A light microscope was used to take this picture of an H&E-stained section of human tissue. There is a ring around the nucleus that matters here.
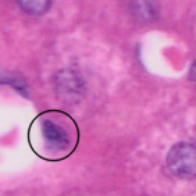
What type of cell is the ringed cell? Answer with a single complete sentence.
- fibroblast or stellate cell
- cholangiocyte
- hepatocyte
With respect to cell type, the ringed cell is a fibroblast or stellate cell.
